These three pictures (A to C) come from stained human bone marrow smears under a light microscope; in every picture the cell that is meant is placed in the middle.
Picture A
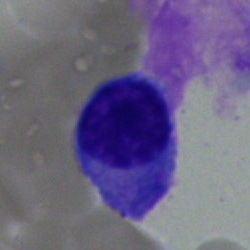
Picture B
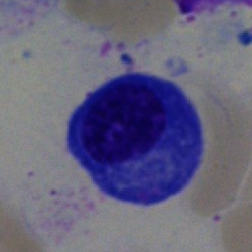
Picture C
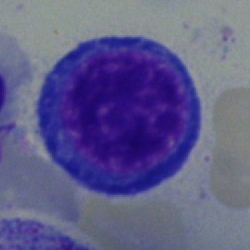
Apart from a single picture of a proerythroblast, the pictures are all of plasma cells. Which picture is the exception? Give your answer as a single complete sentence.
The proerythroblast is the one in picture C.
